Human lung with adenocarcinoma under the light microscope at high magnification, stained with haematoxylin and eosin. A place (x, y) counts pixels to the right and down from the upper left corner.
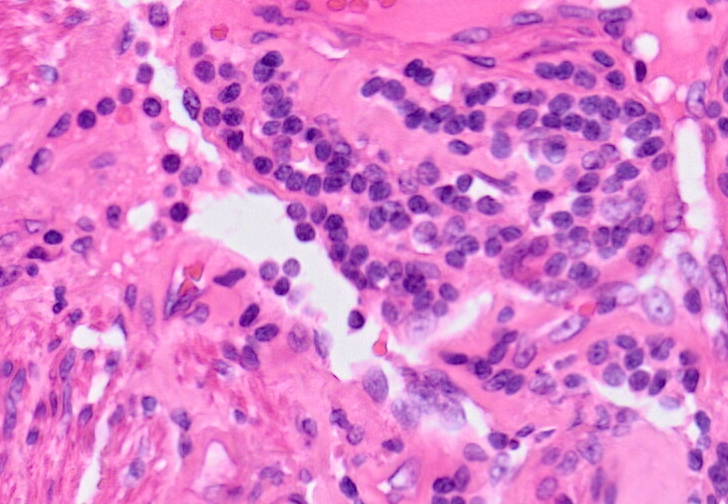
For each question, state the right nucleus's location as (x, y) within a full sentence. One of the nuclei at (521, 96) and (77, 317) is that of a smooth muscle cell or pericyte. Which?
Of the two nuclei, the nucleus of a smooth muscle cell or pericyte is at (77, 317).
